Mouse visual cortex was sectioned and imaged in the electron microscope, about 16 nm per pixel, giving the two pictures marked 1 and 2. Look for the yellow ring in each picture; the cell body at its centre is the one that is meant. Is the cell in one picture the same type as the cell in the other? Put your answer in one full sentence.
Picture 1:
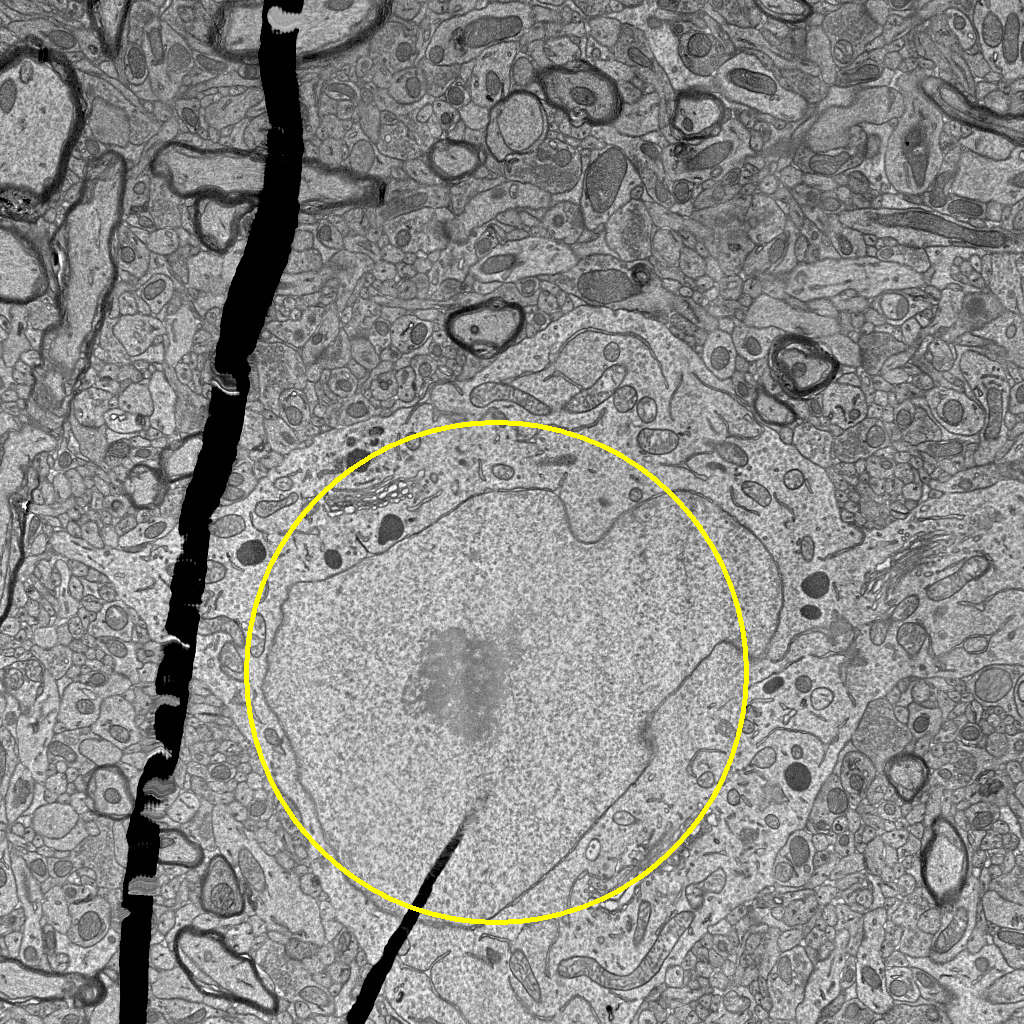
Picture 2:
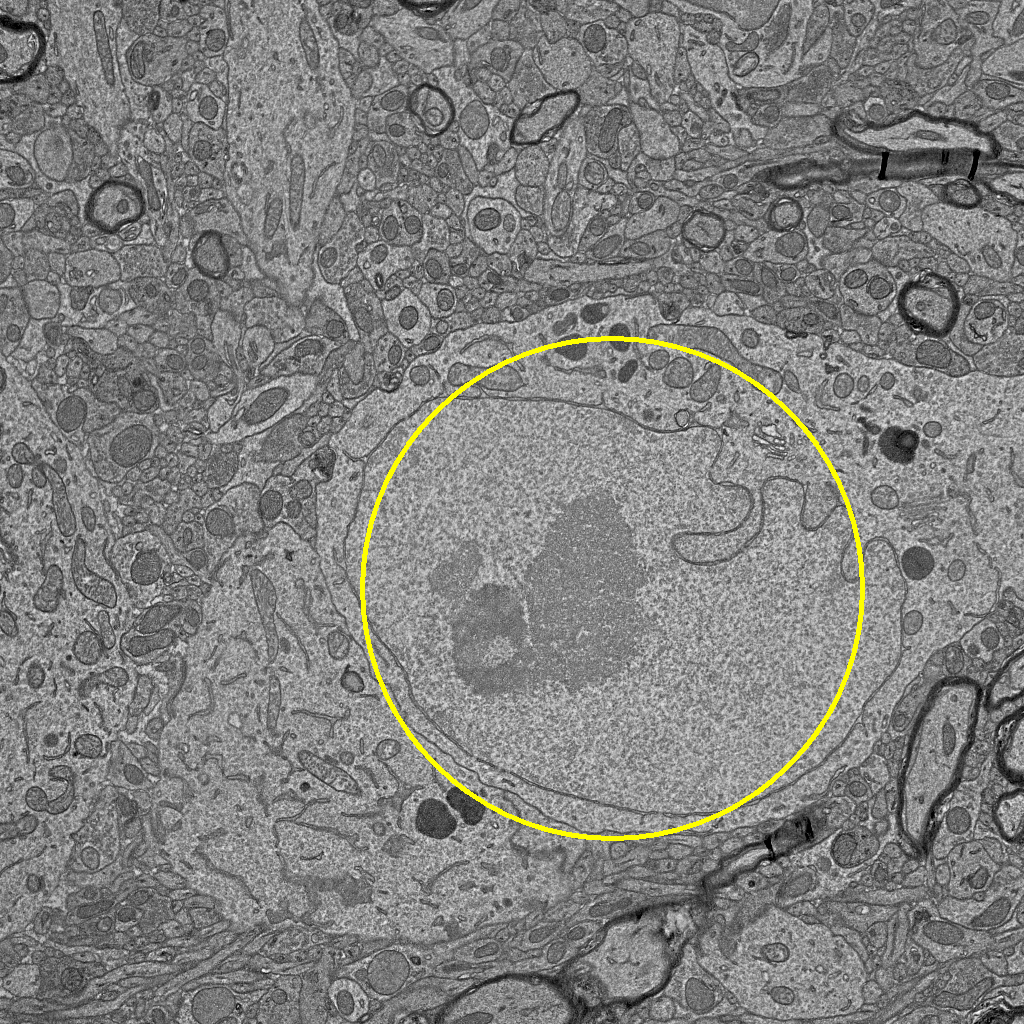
Yes, the two pictures both show inhibitory neurons.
